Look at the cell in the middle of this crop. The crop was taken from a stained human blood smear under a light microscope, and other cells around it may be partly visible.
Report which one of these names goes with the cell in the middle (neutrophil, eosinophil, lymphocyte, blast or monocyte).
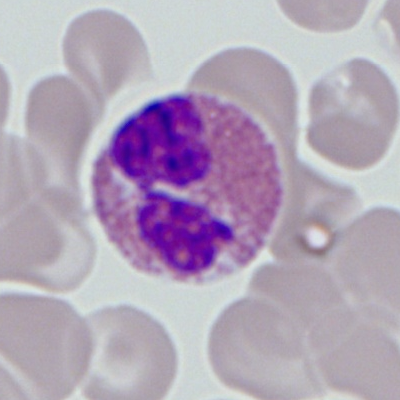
eosinophil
